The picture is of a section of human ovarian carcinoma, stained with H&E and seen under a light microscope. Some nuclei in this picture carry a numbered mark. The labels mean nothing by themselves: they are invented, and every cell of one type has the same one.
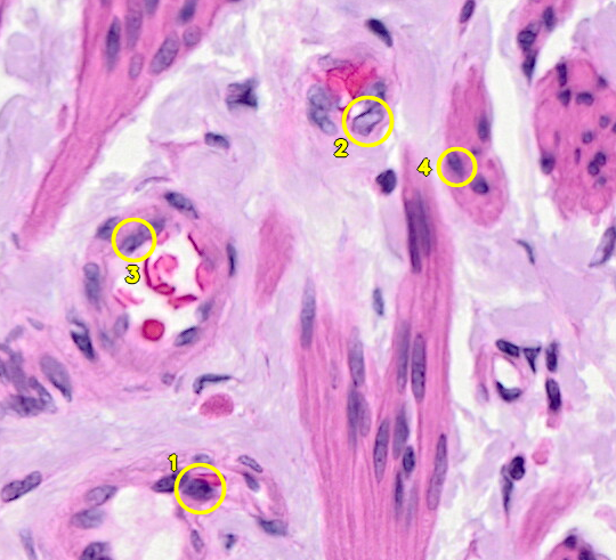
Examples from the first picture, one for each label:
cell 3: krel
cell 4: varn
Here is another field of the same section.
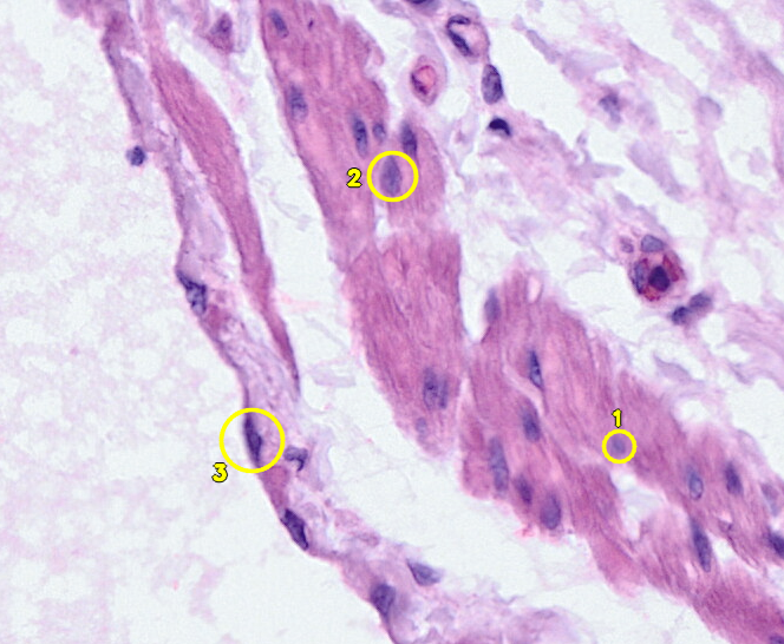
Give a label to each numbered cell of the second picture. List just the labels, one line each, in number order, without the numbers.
varn
varn
krel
